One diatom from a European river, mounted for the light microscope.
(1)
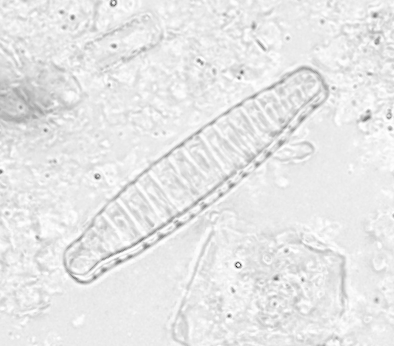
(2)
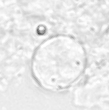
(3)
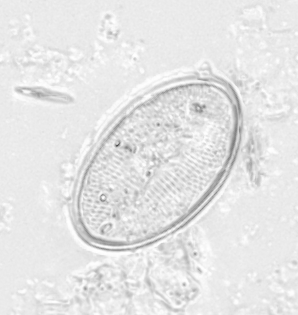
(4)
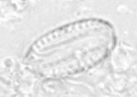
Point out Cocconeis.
That is picture 3.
